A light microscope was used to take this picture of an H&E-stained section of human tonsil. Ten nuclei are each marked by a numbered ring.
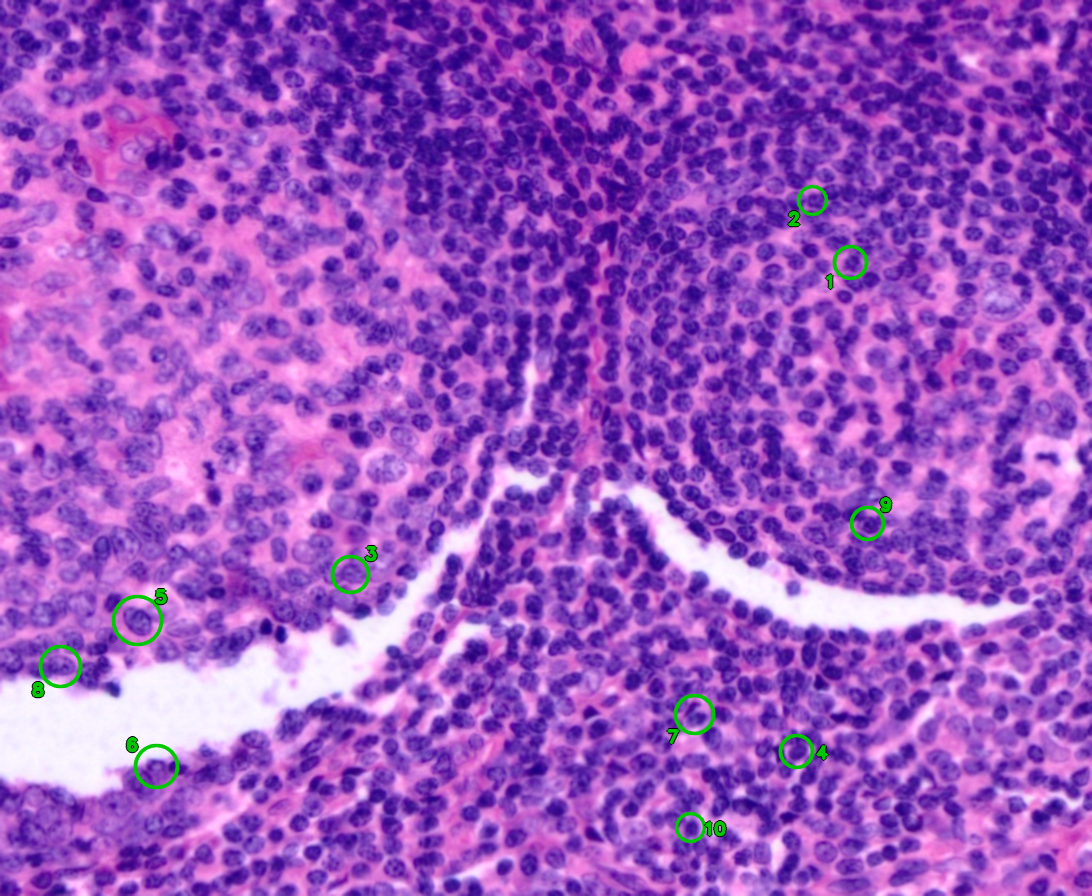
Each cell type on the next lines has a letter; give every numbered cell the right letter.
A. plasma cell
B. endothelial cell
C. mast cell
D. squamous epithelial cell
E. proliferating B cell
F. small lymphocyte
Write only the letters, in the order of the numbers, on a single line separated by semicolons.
F; F; E; F; E; E; F; E; F; F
